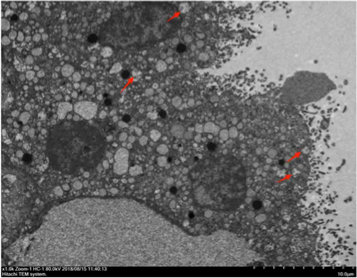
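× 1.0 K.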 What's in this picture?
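This electron micrograph shows trophoblast cytoplasm of a villus bordered on the right by microvilli. The cytoplasm contains many round pale vesicles and scattered small very dark granules, with oval nuclei showing dark chromatin clumps. Only a few arrowed autophagosomes are present, scattered rather than clustered under the surface.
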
